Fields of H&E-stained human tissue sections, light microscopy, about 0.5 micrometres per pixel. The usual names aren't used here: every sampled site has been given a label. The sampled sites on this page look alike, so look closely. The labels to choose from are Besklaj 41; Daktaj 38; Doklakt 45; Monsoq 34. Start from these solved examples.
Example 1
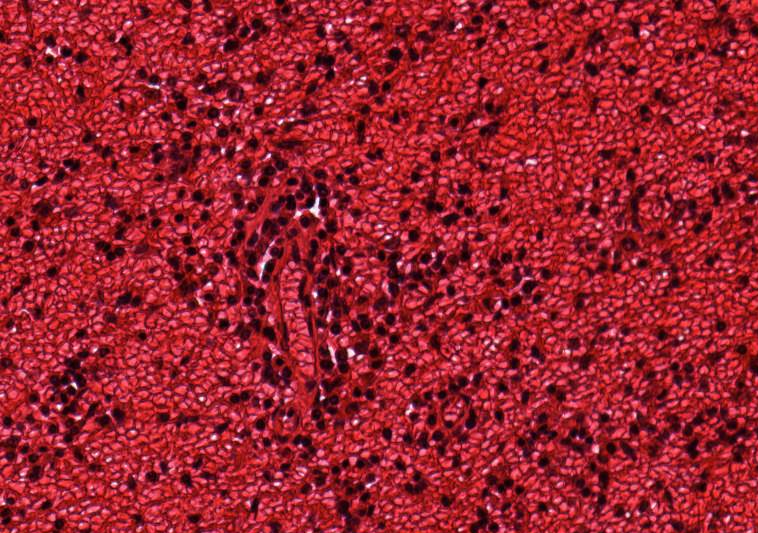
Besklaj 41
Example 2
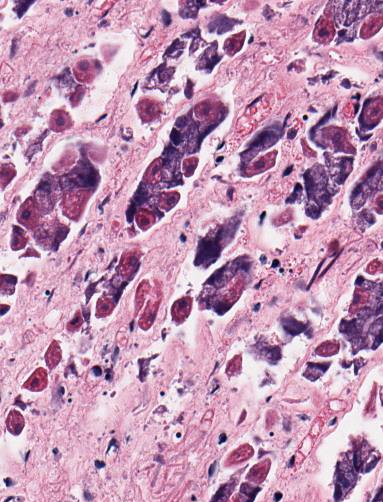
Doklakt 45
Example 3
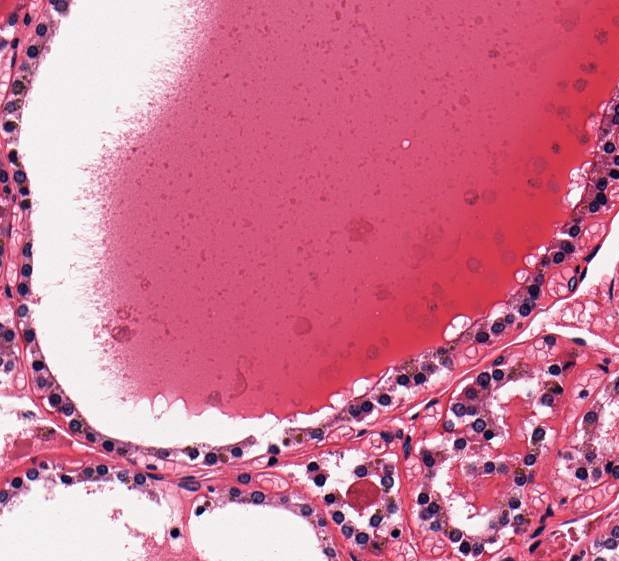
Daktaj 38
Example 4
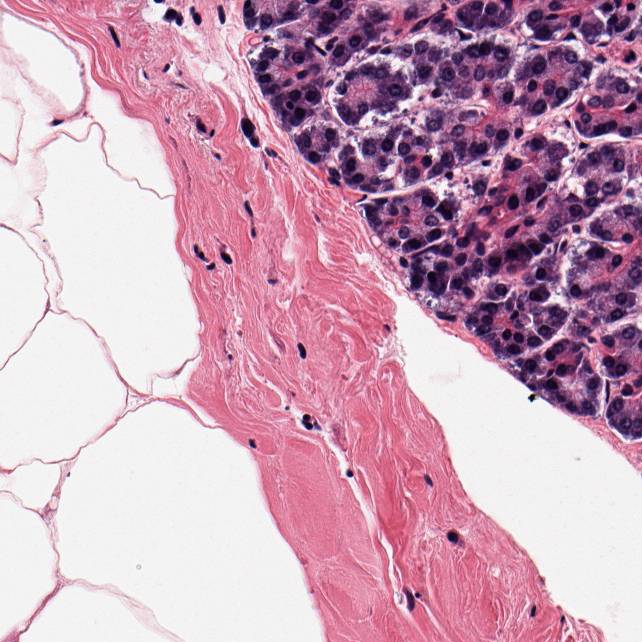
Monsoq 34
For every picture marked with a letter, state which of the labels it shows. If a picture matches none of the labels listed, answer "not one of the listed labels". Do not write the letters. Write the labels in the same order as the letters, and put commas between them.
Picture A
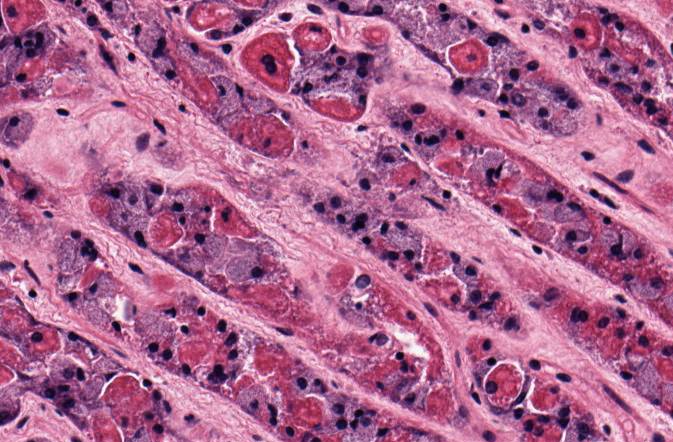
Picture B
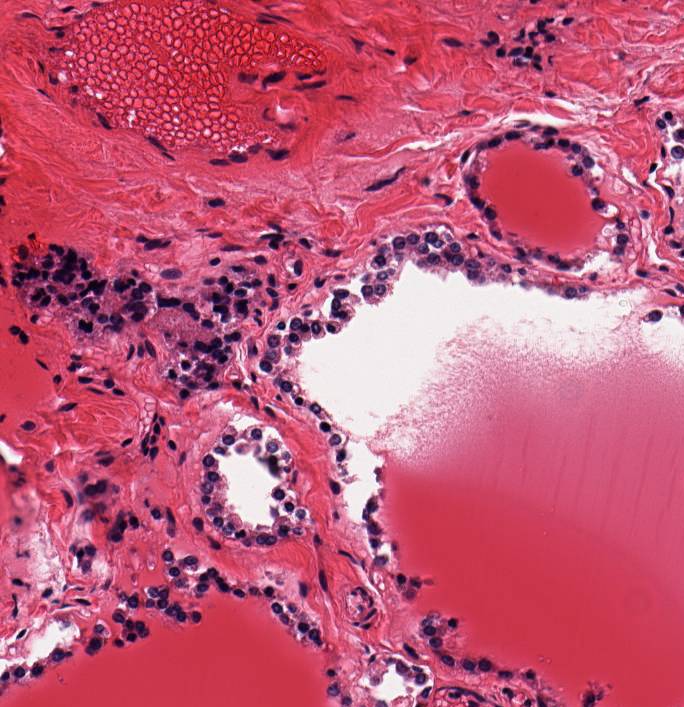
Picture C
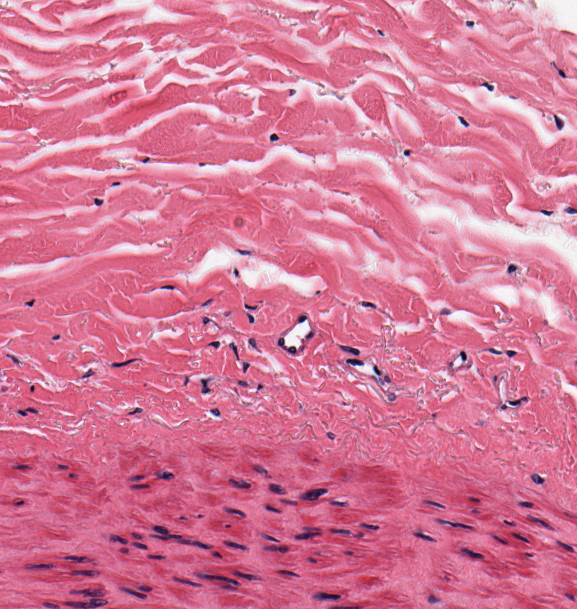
Doklakt 45, Daktaj 38, not one of the listed labels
